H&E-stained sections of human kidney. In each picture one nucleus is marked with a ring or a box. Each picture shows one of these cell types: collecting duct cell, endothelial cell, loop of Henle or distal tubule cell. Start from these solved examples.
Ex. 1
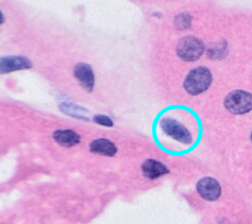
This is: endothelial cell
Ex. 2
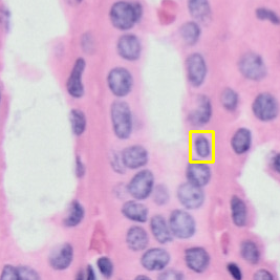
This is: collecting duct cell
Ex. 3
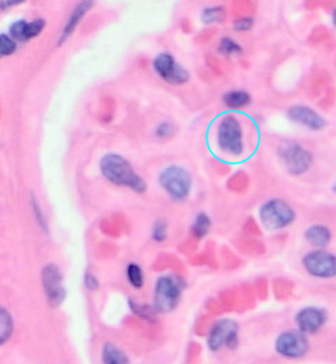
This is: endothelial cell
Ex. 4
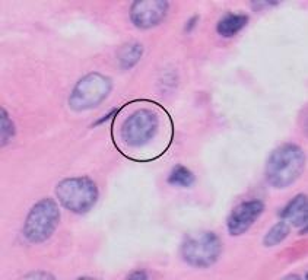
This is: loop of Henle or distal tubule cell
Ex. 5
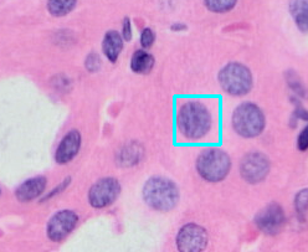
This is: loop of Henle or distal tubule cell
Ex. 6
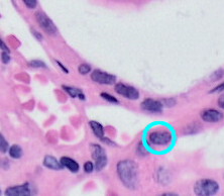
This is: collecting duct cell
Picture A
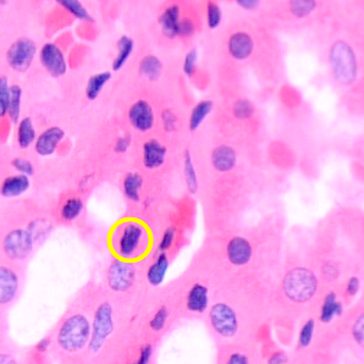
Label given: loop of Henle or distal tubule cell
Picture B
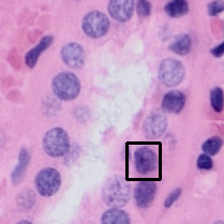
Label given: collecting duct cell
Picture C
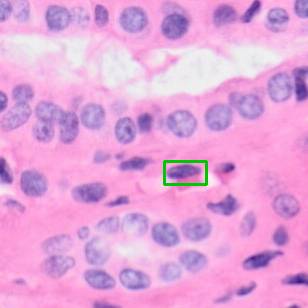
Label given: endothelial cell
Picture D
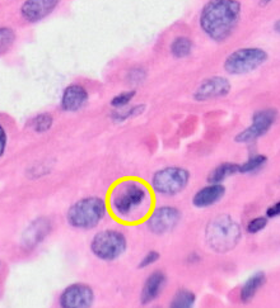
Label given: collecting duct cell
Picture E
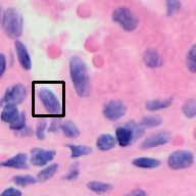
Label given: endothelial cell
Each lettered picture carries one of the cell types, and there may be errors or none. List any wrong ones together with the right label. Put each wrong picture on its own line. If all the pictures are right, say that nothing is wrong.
D: loop of Henle or distal tubule cell, not collecting duct cell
